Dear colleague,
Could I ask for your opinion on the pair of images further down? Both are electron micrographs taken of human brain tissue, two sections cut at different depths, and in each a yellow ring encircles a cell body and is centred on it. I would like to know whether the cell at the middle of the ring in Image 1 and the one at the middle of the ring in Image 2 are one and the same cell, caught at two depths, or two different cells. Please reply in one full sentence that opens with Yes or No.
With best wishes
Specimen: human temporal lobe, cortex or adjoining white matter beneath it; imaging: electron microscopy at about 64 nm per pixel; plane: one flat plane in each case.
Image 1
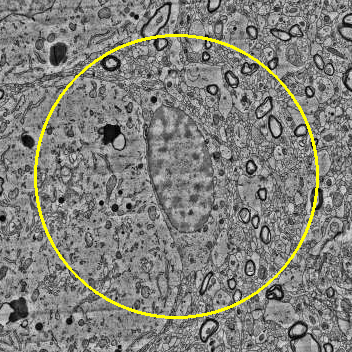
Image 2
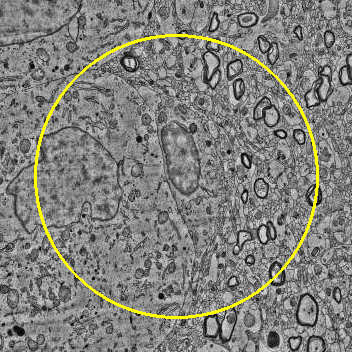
Yes, one and the same cell lies under both rings.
